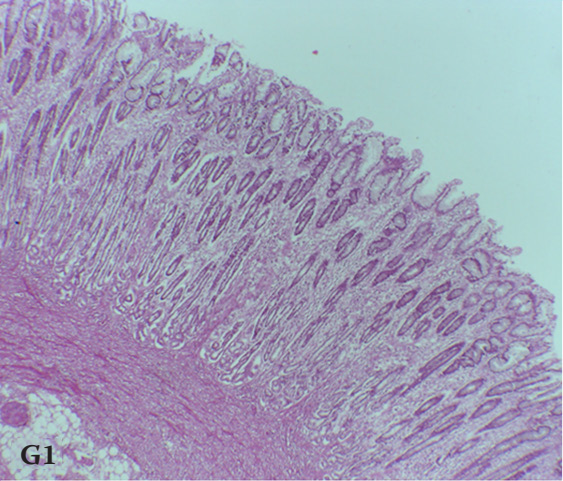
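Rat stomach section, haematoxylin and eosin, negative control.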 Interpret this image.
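Gastric mucosa with long, closely packed tubular glands running perpendicular to the surface, their purple-stained epithelium separated by pale lamina propria. Beneath the mucosa lies a pink band of muscle and loose connective tissue, with a few fat cells at the lower left.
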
